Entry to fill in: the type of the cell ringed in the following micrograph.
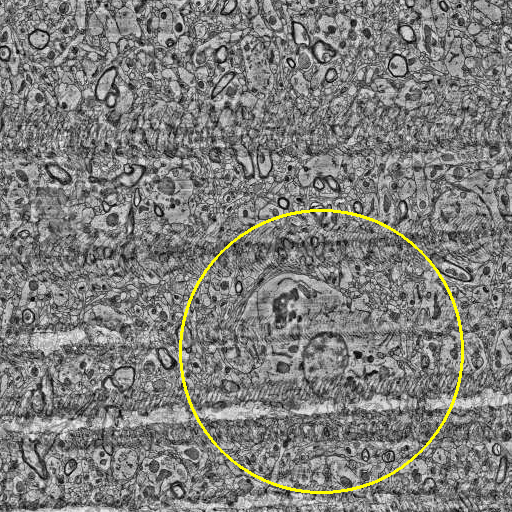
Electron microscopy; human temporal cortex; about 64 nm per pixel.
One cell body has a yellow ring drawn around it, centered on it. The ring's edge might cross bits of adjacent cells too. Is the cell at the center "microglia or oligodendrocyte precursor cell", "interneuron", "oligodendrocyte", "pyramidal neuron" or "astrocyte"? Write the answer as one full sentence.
This entry names an astrocyte as the cell whose body lies at the ring's center.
